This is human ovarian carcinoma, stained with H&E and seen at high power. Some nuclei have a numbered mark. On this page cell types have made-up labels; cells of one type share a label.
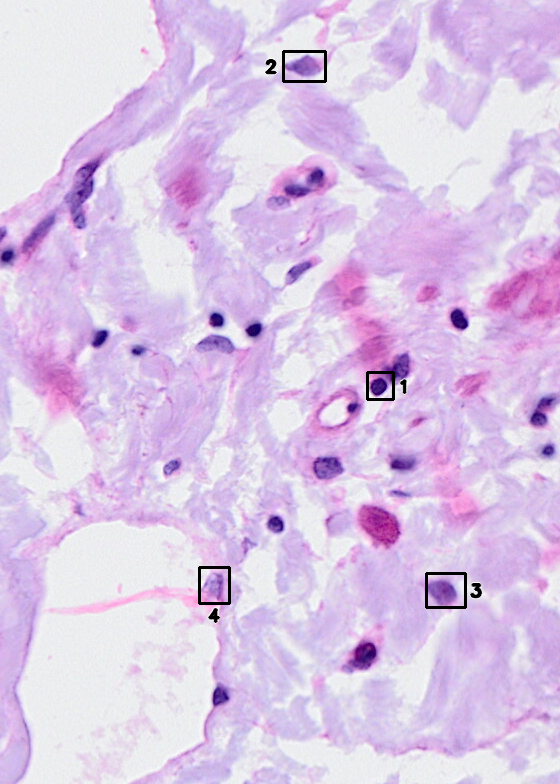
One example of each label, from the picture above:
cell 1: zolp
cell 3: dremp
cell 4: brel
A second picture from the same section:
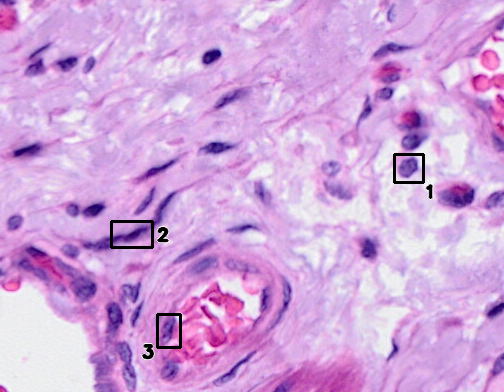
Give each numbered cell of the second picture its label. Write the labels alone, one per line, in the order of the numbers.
zolp
dremp
brel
